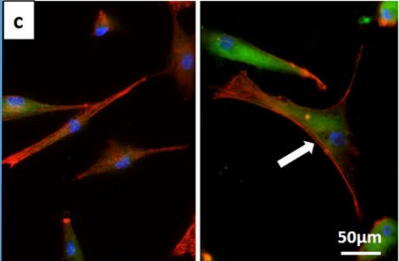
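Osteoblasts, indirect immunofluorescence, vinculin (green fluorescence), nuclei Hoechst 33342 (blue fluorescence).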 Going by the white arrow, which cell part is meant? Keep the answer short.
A: actin stress fibres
